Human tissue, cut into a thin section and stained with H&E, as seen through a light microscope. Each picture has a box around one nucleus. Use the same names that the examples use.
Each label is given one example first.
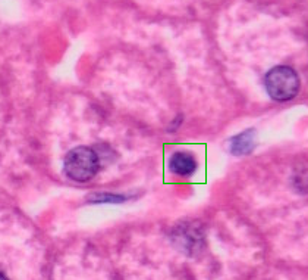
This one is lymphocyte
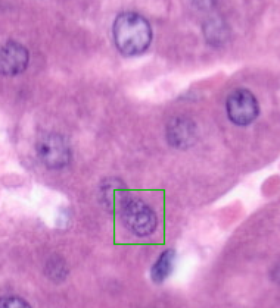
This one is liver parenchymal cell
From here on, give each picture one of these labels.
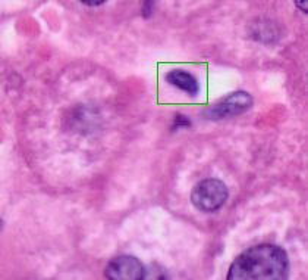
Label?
lymphocyte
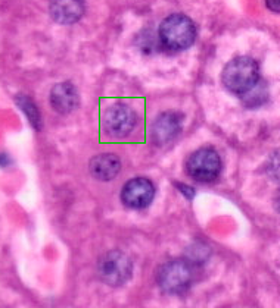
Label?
liver parenchymal cell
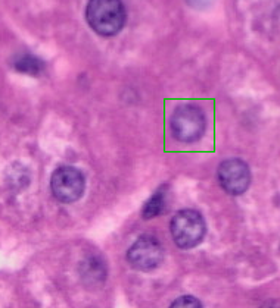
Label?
liver parenchymal cell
